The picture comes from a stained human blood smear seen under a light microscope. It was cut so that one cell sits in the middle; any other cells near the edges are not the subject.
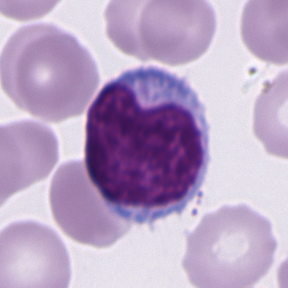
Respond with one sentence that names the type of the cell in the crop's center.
The cell at the central position in this crop is a typical lymphocyte.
